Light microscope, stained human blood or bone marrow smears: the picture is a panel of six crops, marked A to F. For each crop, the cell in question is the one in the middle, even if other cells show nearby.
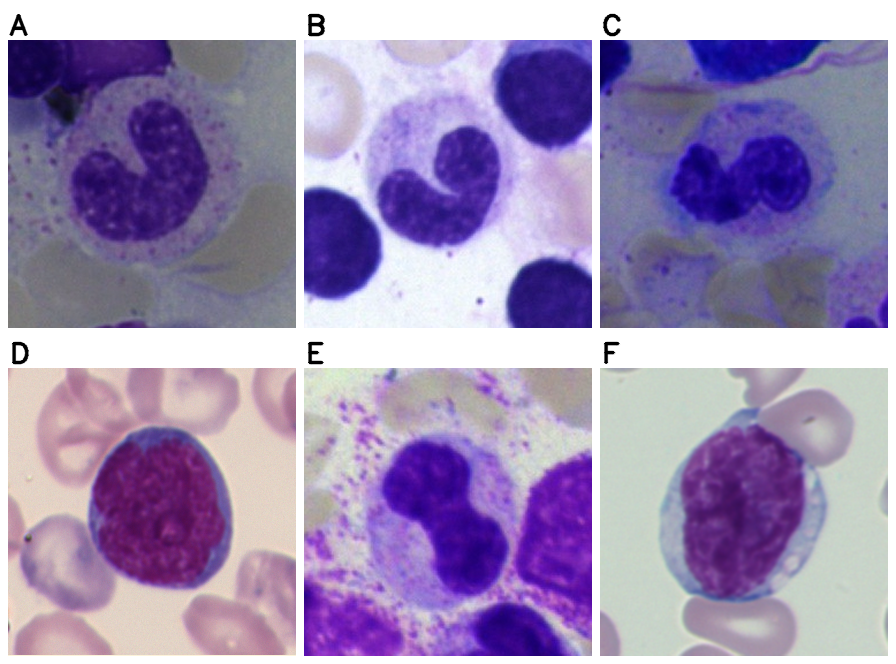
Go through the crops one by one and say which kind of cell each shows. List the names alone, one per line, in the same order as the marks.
band neutrophil
band neutrophil
band neutrophil
blast
band neutrophil
blast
